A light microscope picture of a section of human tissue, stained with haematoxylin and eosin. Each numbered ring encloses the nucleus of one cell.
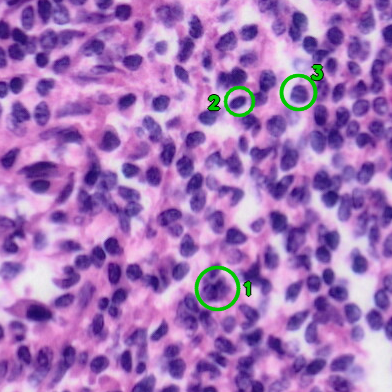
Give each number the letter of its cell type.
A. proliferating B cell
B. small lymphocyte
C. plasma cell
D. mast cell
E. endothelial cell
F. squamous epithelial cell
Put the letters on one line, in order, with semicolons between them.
A; B; B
